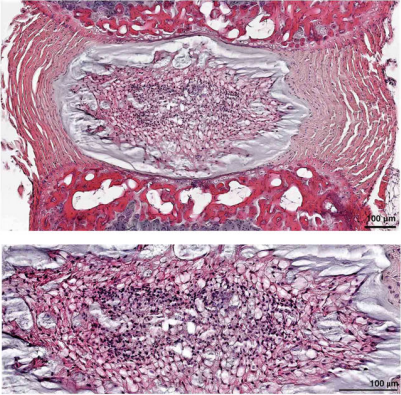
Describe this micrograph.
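The middle holds a broad zone of small cells with dark nuclei, smaller chondrocyte-like cells, rather than a thin strip. Around it lie larger vacuolated notochordal cells with clear, bubbly cytoplasm.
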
